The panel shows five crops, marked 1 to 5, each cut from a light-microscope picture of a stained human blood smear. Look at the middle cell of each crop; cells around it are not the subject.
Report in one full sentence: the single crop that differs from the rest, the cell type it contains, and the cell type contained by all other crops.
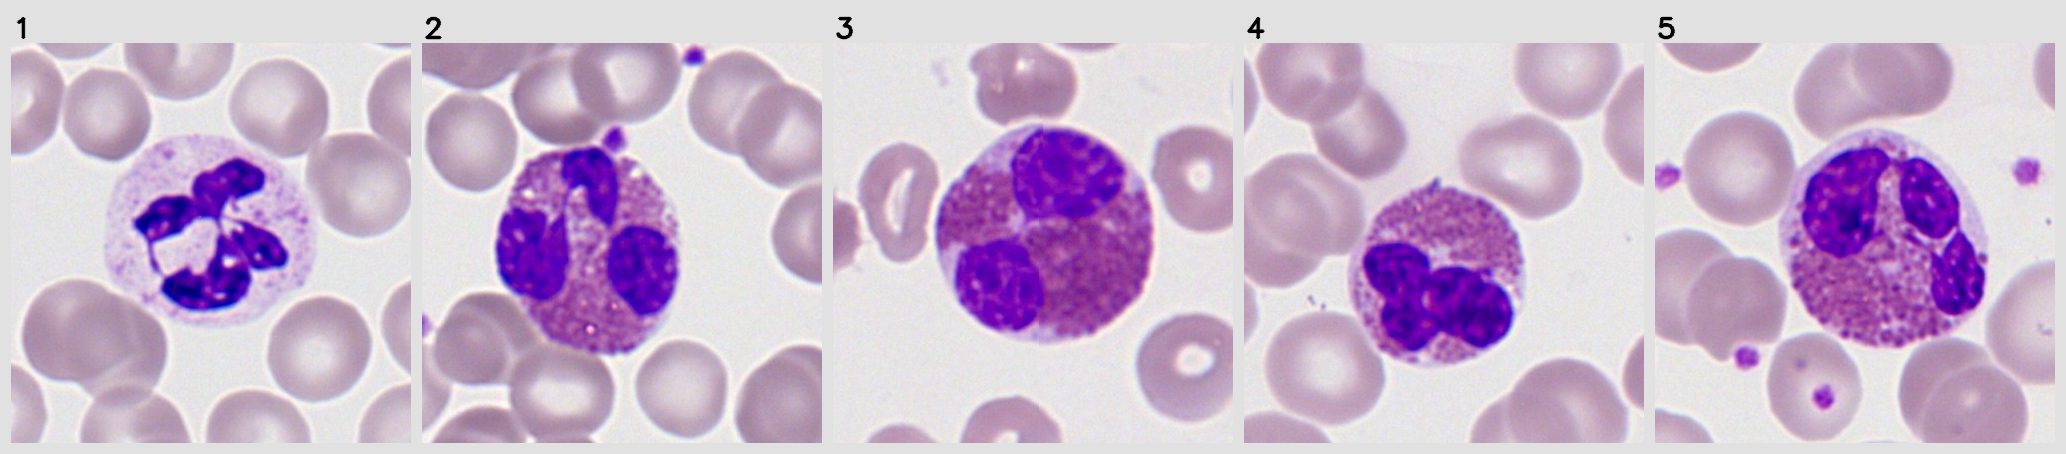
Unlike the other crops, all showing eosinophils, crop 1 is a segmented neutrophil.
